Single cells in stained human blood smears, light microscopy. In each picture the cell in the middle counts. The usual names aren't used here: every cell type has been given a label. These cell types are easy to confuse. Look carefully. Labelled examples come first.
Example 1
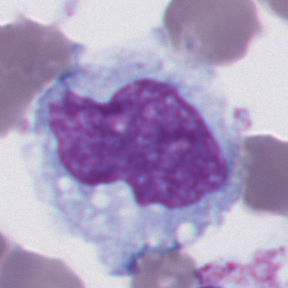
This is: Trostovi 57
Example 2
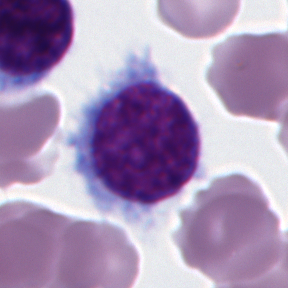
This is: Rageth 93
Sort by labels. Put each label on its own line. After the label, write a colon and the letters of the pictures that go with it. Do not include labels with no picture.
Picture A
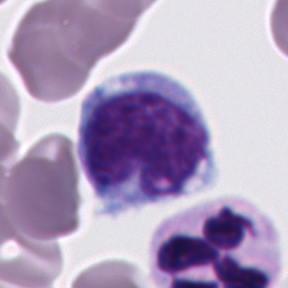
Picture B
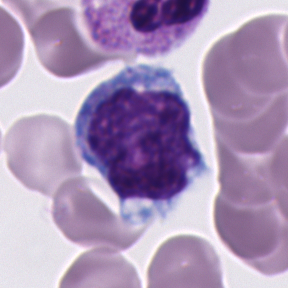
Trostovi 57: A, B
